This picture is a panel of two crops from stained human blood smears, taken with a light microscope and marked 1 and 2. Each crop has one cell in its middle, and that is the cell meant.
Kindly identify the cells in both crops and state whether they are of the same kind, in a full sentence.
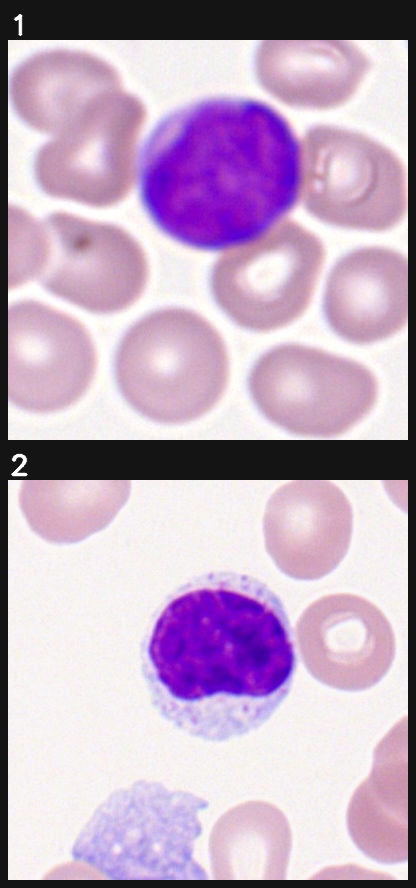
No, crop 1 contains a myeloblast; a lymphocyte is what crop 2 contains.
